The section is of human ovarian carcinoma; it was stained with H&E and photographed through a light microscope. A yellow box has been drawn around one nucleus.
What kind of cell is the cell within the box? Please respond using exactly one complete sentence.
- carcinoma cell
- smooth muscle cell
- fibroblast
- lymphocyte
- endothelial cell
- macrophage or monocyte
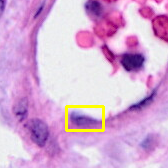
The identity of the cell within the box: it is an endothelial cell.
